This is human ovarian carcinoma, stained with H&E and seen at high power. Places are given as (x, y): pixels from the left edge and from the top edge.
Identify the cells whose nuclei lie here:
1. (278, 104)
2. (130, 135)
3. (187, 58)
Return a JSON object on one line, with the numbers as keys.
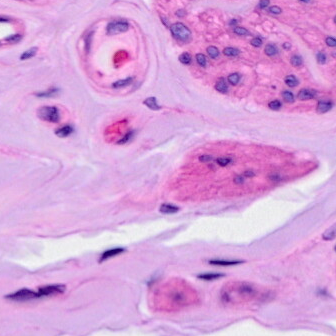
{"1": "smooth muscle cell", "2": "endothelial cell", "3": "smooth muscle cell"}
